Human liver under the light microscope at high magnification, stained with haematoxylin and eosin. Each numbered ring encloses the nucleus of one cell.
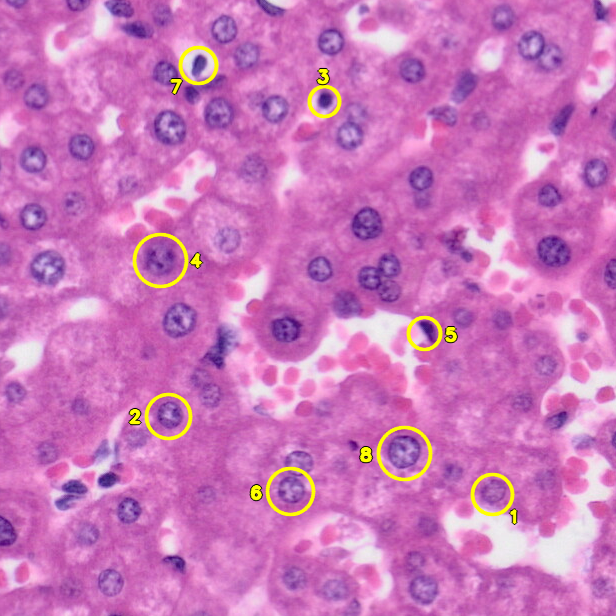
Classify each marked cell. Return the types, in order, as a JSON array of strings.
["hepatocyte", "hepatocyte", "lymphocyte", "hepatocyte", "fibroblast or stellate cell", "hepatocyte", "lymphocyte", "hepatocyte"]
